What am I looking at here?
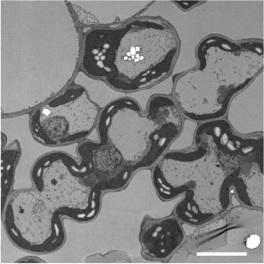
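The cells have wavy, lobed walls and are separated by clear intercellular spaces. Dark, elongated chloroplasts lie along the walls, and many contain pale oval inclusions. A rounded nucleus can be made out in some cells.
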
